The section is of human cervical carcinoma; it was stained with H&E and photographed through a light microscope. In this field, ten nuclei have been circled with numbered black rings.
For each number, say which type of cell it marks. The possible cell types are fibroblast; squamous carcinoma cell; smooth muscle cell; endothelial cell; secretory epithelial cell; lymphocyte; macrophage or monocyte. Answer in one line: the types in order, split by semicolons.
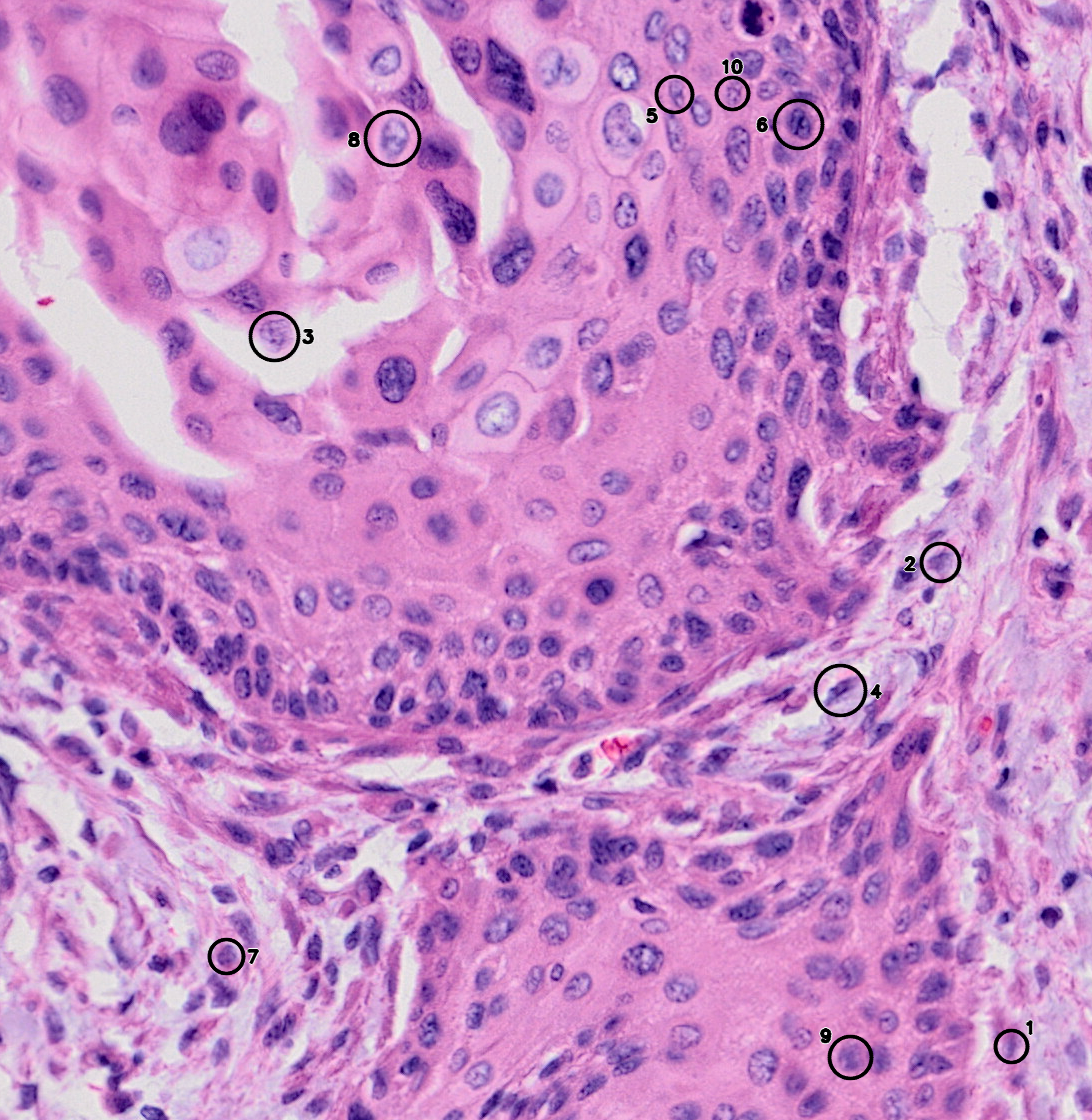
fibroblast; fibroblast; squamous carcinoma cell; fibroblast; squamous carcinoma cell; squamous carcinoma cell; macrophage or monocyte; squamous carcinoma cell; squamous carcinoma cell; squamous carcinoma cell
